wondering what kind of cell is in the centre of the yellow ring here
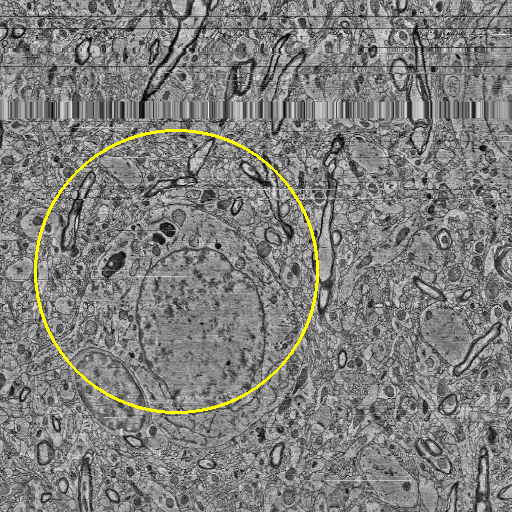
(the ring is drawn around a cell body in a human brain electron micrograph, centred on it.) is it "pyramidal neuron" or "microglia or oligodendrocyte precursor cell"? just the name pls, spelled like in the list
pyramidal neuron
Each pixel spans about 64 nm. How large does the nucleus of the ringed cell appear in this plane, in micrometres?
Roughly 11 by 8 micrometres in this plane, for the nucleus of the ringed cell.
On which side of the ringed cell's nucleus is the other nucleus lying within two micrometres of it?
The other one is to the lower left of it.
